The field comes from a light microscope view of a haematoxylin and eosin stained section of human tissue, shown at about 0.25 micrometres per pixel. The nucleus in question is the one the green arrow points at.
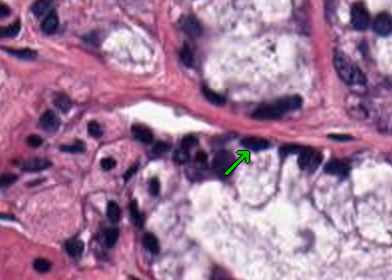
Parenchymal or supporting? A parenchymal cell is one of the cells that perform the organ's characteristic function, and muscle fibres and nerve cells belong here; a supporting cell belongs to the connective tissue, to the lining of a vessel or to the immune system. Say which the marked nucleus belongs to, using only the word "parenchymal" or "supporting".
parenchymal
